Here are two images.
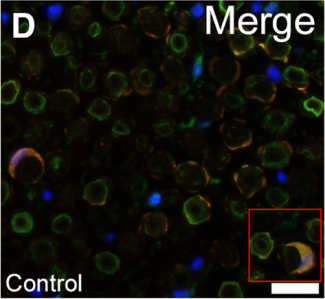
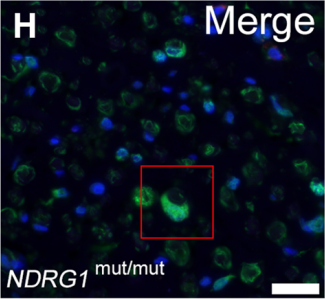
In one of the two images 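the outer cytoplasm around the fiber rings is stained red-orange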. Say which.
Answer: the first image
